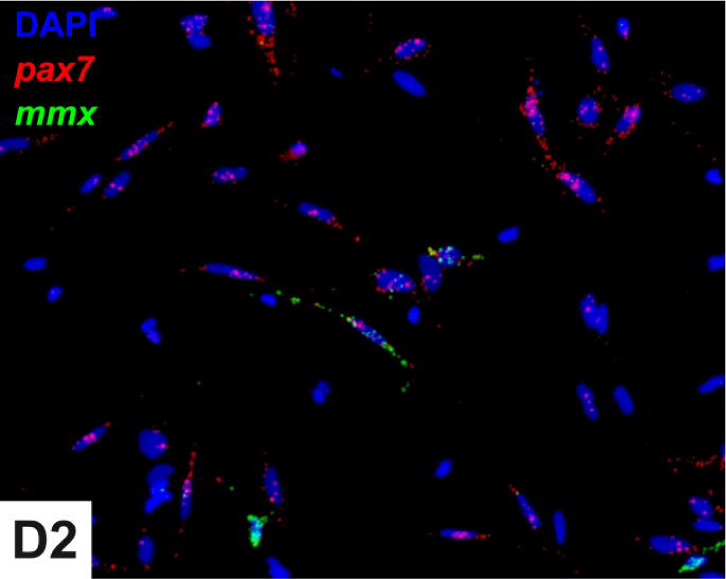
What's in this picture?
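This is a sparse culture of muscle-forming progenitor cells, mostly single and spindle-shaped or oval, each with one blue nucleus. Many of them carry clusters of red dots over and around the nucleus, and red dots also trail along thin cytoplasmic extensions. Green dots are rare, seen in only a few elongated cells, one of them a thin cell running diagonally across the middle. Cells lie apart from one another without fusing, and several nuclei carry no dots at all.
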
